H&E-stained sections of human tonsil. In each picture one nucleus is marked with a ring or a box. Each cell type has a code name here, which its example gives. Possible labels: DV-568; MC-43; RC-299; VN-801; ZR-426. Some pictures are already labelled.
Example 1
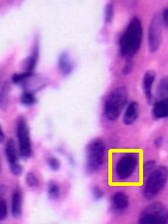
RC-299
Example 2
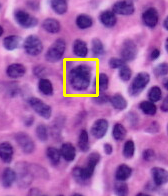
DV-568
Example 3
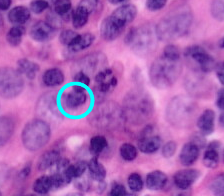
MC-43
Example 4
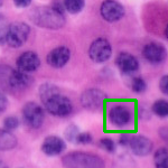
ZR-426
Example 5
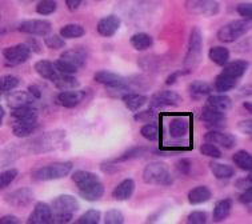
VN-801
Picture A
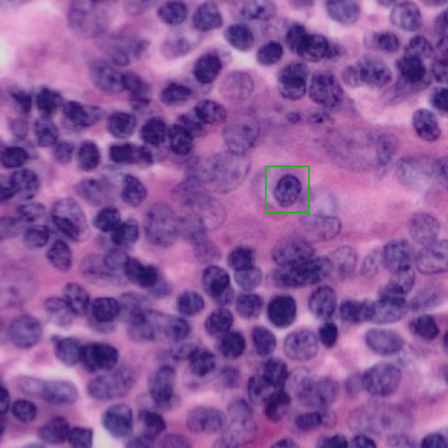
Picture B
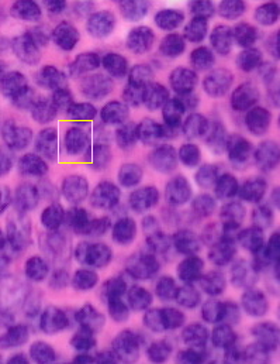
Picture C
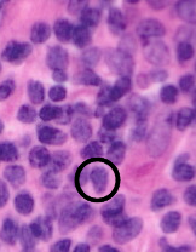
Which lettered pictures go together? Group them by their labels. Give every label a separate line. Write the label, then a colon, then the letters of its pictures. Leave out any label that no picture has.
MC-43: A
VN-801: B, C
